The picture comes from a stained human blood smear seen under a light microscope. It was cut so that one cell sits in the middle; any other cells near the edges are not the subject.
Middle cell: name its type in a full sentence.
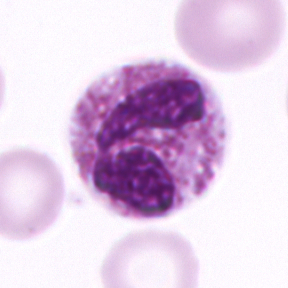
The cell centred in this crop is categorized as an eosinophil.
